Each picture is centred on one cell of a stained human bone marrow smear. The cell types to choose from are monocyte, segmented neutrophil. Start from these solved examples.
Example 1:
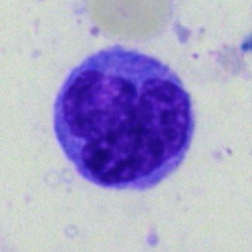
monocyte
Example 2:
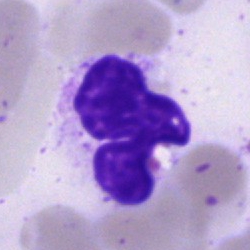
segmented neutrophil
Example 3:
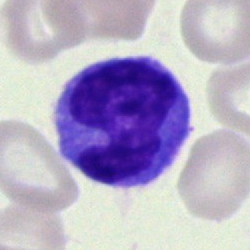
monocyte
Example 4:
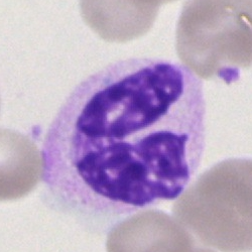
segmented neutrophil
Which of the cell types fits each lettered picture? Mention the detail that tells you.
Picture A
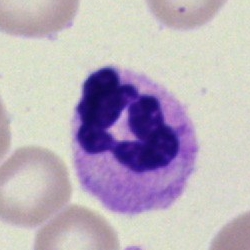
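Label: segmented neutrophil. The cytoplasm is abundant and pale pinkish-lilac.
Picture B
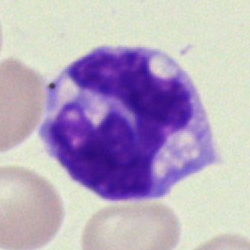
Label: monocyte. The nucleus fills most of the cell.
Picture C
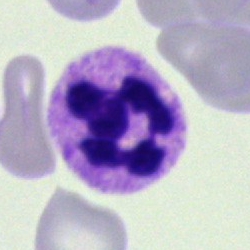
Label: segmented neutrophil. The cytoplasm is abundant and pale pinkish-lilac.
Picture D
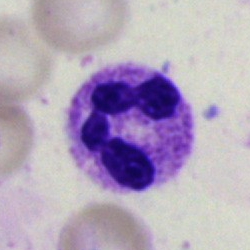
Label: segmented neutrophil. Fine lilac granules fill the cytoplasm.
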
